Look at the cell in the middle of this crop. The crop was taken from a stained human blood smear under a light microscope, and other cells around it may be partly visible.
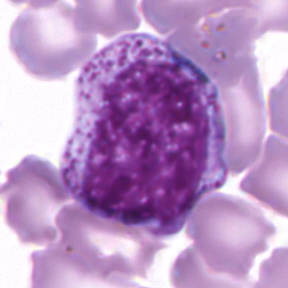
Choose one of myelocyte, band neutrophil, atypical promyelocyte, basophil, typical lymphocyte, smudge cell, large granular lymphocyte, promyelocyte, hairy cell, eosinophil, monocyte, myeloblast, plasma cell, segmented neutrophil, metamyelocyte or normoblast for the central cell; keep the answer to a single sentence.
At the middle of the frame sits a myelocyte.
